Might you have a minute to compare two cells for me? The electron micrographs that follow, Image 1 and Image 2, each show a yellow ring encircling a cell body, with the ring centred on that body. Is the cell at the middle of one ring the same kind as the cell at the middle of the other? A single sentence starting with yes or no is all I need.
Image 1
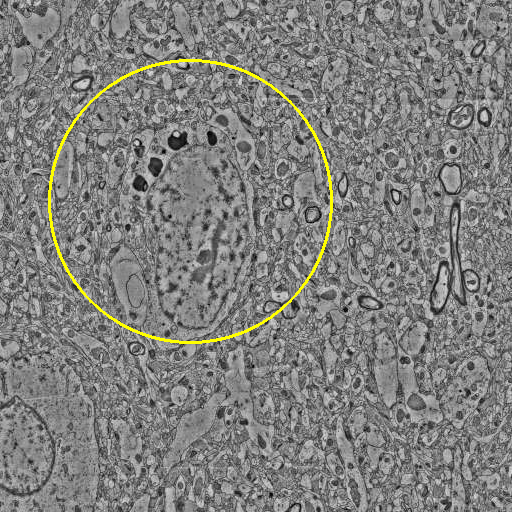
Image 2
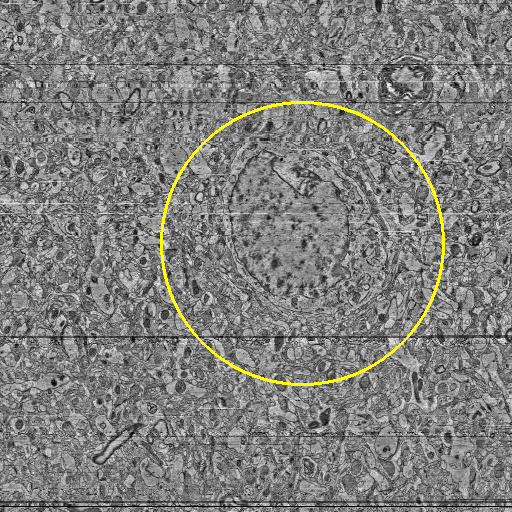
Yes, the cells in the middle of the two rings are of one shared kind.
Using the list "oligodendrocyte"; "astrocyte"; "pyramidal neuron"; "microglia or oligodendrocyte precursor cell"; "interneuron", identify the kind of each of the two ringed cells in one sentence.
Both the first and the second picture show an interneuron in the ring.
